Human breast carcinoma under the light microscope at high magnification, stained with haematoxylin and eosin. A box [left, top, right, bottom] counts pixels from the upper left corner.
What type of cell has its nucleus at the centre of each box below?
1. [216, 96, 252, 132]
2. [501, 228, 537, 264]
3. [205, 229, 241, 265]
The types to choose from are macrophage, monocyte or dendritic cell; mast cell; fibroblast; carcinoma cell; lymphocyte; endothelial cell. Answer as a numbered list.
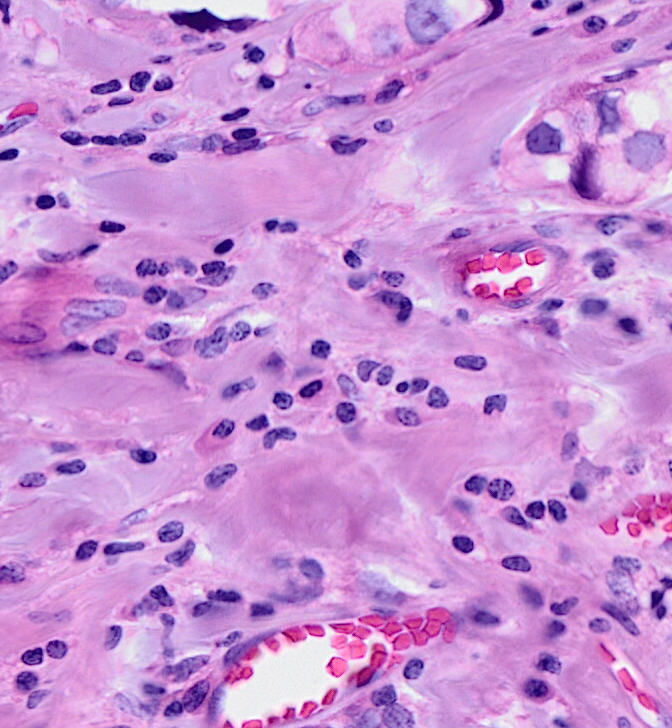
1. lymphocyte
2. endothelial cell
3. lymphocyte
